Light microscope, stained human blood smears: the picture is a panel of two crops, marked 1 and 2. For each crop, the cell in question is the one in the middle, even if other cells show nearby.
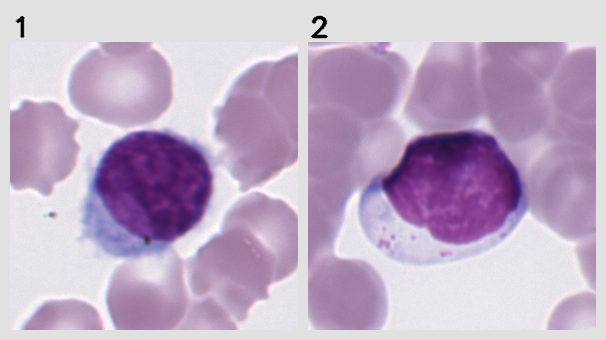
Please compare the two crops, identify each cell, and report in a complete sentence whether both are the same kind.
No, a hairy cell and a large granular lymphocyte are found in crop 1 and crop 2, respectively.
